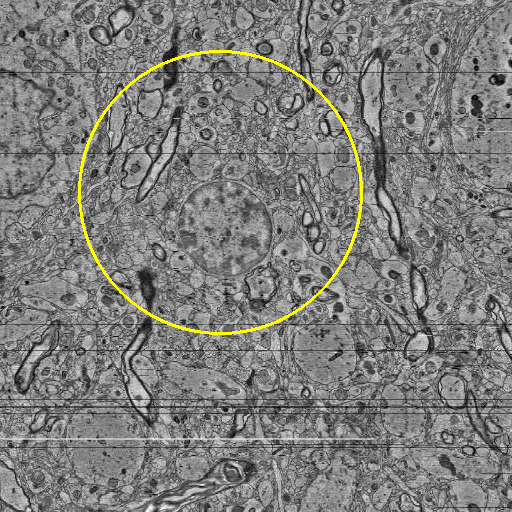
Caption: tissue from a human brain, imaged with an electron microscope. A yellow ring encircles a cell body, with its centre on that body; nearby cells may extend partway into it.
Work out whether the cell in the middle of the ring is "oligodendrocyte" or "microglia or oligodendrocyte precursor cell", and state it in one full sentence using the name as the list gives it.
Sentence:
In the picture, the cell that the yellow ring surrounds at its centre is an oligodendrocyte.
